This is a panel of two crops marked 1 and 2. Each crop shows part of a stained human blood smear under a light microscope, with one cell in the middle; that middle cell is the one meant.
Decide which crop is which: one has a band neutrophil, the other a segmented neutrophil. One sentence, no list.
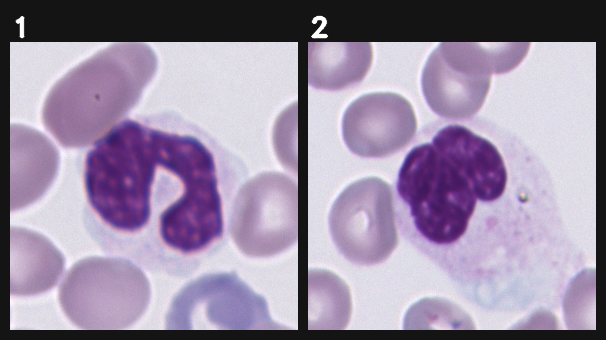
Crop 1 is classified as a band neutrophil, and crop 2 as a segmented neutrophil.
